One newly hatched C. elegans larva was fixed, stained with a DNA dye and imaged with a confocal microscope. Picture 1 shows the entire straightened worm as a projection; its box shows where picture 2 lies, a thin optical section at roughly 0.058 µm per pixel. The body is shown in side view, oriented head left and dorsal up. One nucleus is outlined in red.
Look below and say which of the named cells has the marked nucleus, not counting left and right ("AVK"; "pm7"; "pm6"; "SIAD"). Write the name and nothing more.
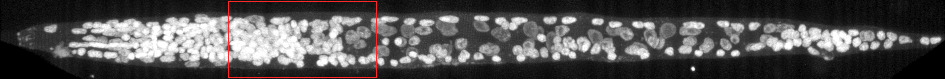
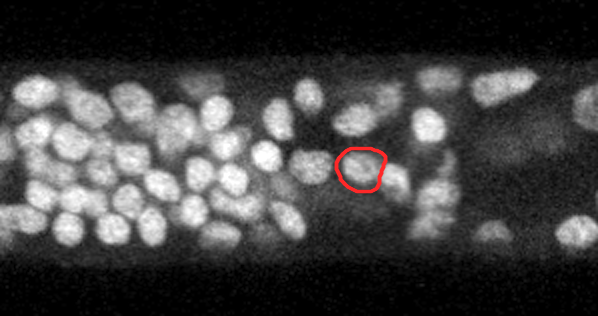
pm7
